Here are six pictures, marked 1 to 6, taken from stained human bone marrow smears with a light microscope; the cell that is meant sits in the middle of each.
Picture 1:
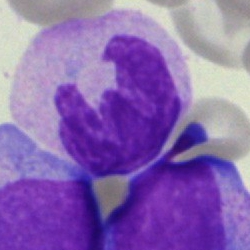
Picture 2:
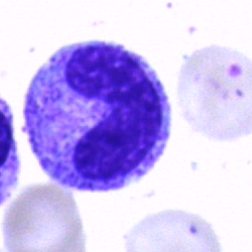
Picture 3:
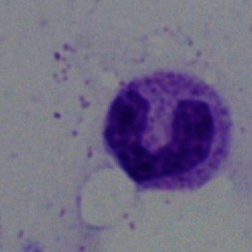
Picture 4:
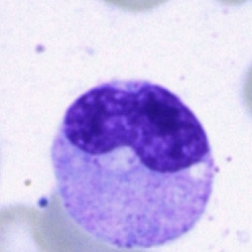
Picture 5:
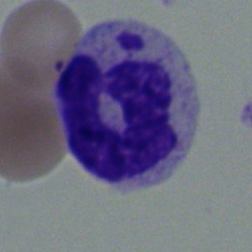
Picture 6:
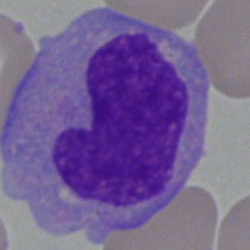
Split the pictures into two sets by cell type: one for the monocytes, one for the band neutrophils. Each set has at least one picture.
1: monocyte
2: band neutrophil
3: band neutrophil
4: band neutrophil
5: band neutrophil
6: monocyte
